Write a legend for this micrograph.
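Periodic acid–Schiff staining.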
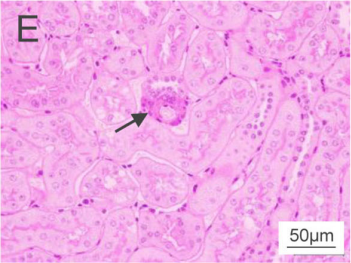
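Renal cortex with a small arteriole cut in cross-section among closely packed tubules, its wall showing hyalinosis. The tubules are round to oval profiles lined by cuboidal epithelial cells with round, purple nuclei and pale pink cytoplasm; several tubules show magenta-staining luminal borders. Between the tubules lies a thin interstitium with scattered elongated nuclei.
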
